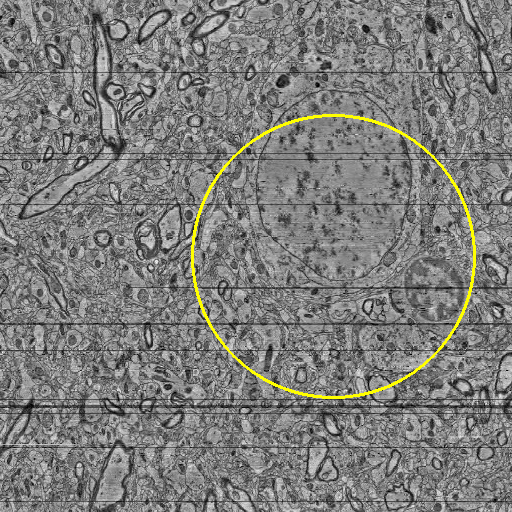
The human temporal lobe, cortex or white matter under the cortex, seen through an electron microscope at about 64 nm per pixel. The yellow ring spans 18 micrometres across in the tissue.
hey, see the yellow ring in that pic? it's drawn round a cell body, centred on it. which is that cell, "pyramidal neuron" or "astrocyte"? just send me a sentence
The cell in the ring is a pyramidal neuron.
